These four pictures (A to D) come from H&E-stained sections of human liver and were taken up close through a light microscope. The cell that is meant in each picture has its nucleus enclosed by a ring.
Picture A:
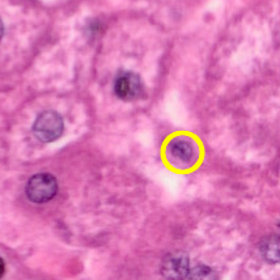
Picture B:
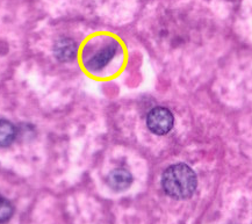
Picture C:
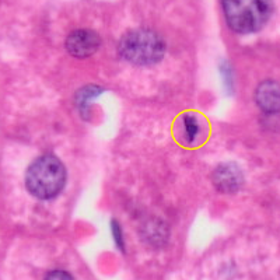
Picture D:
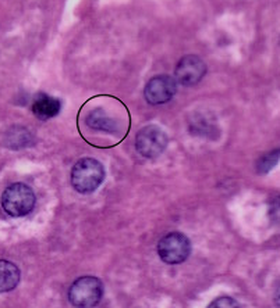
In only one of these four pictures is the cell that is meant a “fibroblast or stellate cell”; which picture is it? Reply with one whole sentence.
It is picture C that shows the “fibroblast or stellate cell”.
